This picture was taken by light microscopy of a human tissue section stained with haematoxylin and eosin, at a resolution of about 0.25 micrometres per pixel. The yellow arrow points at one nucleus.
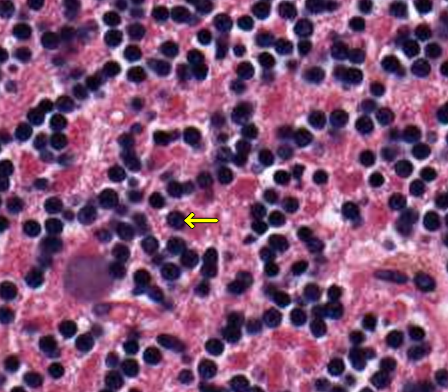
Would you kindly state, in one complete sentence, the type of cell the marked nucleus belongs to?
To a cerebellar granule cell belongs the marked nucleus.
